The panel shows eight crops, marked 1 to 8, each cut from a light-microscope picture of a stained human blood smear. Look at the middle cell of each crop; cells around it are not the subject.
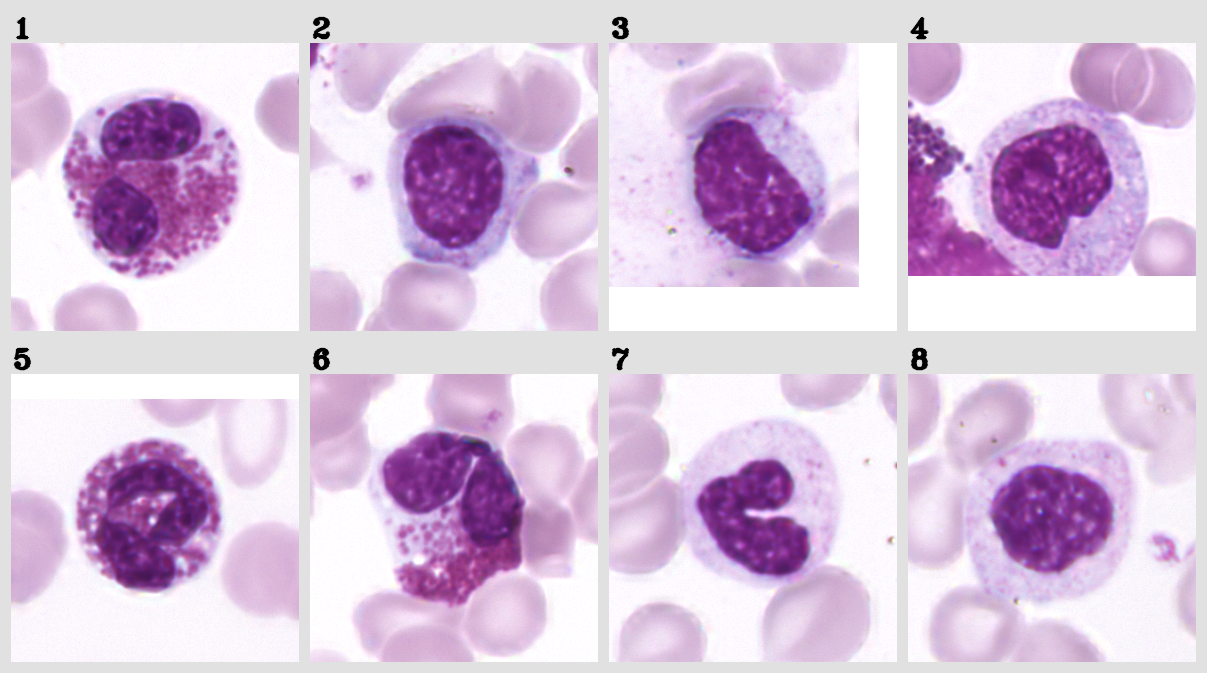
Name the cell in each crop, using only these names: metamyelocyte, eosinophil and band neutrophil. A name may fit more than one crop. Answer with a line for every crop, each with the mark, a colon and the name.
1: eosinophil
2: metamyelocyte
3: metamyelocyte
4: metamyelocyte
5: eosinophil
6: eosinophil
7: band neutrophil
8: metamyelocyte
